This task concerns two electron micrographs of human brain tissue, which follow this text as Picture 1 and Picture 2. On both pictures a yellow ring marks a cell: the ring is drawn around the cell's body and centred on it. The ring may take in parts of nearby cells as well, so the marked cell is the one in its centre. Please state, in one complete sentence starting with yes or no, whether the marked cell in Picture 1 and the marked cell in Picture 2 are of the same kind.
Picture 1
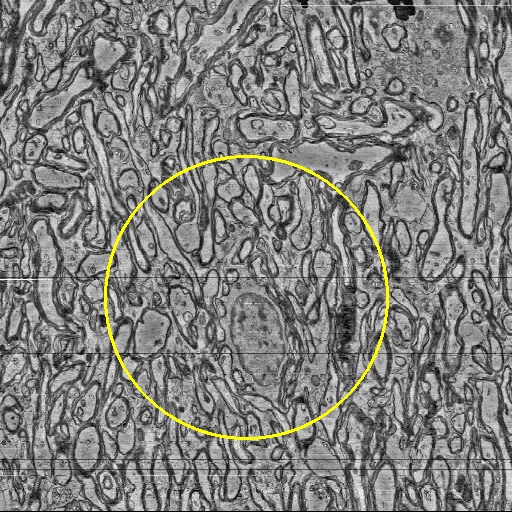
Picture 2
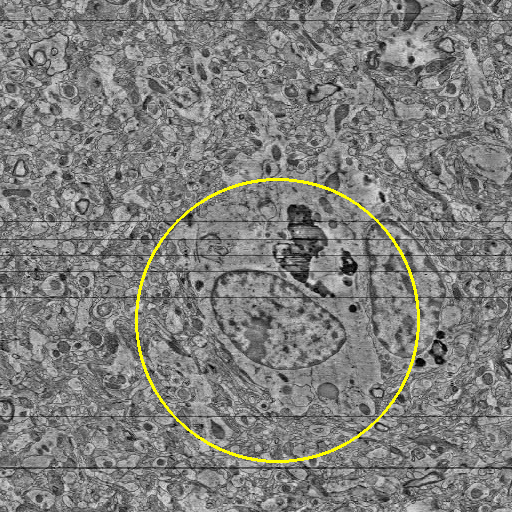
No, the marked cells in the two pictures are of two kinds.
